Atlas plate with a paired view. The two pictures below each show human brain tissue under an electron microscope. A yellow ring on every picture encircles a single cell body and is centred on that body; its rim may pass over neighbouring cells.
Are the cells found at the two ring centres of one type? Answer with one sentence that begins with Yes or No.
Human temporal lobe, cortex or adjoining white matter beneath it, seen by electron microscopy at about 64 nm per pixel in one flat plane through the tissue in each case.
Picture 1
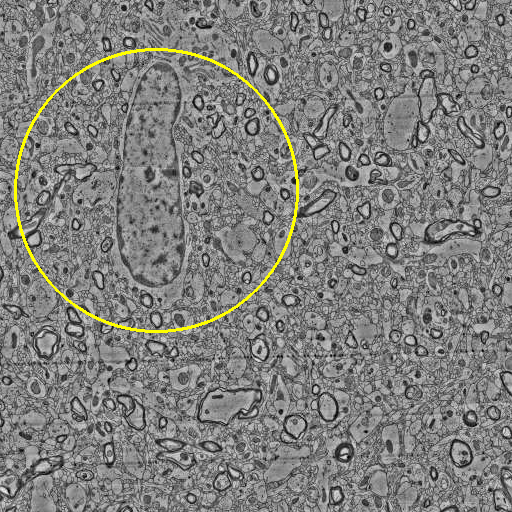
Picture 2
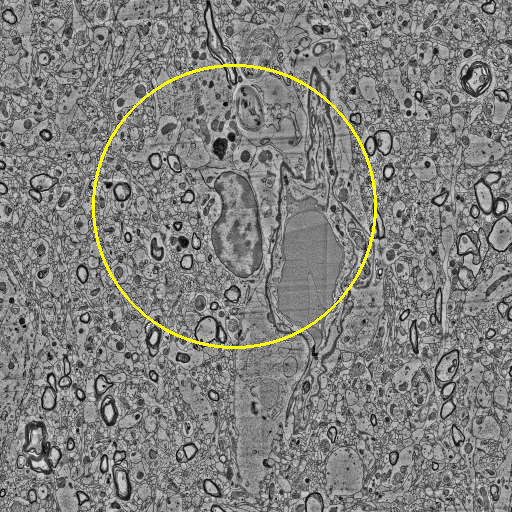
Yes, the two cells lying at the centres of the rings share a single type.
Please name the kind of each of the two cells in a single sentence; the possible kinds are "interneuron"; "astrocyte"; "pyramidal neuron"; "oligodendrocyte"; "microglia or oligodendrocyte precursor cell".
The cell in the first picture is a microglial cell or oligodendrocyte precursor cell, and so is the one in the second.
